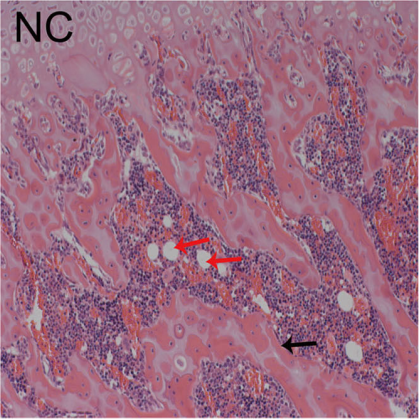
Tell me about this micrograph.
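The spaces between them are filled with purple marrow cells and some red blood cells. Only a few small, clear, round adipocytes are scattered in the marrow.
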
